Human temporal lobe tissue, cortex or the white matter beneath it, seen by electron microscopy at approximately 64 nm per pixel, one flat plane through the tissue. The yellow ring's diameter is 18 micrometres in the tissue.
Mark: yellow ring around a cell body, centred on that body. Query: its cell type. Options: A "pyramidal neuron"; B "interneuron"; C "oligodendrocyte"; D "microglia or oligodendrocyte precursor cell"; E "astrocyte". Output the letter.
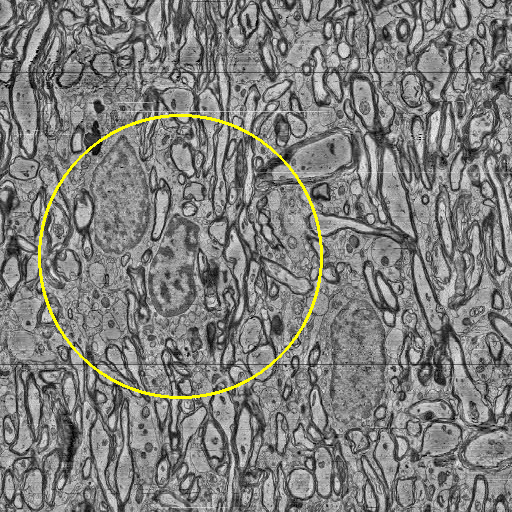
D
